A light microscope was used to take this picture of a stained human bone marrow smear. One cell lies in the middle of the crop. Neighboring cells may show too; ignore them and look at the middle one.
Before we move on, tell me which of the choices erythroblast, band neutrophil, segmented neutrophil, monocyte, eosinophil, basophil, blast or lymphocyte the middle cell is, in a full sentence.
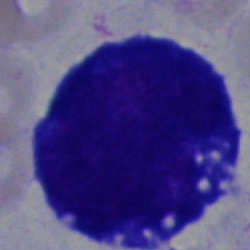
The centered cell in this crop is a blast.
